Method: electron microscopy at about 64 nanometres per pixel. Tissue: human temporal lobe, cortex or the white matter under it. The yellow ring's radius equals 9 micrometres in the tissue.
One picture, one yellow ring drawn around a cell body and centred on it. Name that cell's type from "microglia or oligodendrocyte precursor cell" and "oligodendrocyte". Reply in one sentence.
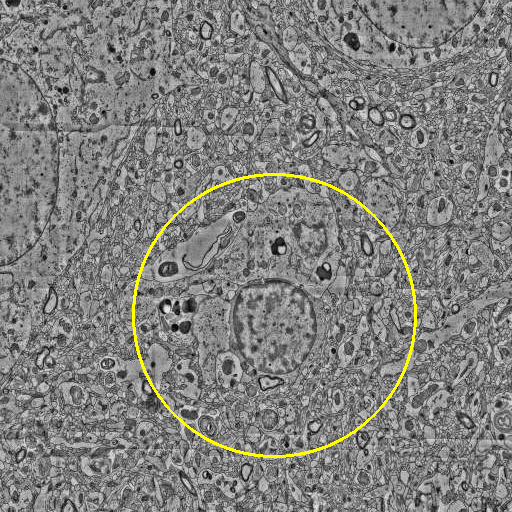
Centred in the ring is an oligodendrocyte.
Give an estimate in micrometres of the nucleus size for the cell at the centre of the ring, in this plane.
The nucleus appears about 6 micrometres across in this plane.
